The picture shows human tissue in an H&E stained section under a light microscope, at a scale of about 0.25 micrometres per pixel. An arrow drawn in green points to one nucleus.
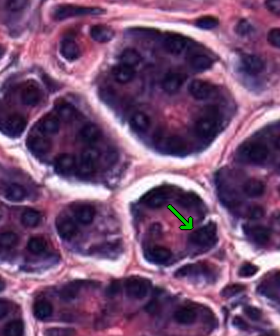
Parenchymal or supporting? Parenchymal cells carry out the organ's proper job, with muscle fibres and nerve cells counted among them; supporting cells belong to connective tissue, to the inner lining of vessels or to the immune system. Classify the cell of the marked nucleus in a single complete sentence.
The parenchymal cell to which the marked nucleus belongs is a pancreatic acinar cell.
